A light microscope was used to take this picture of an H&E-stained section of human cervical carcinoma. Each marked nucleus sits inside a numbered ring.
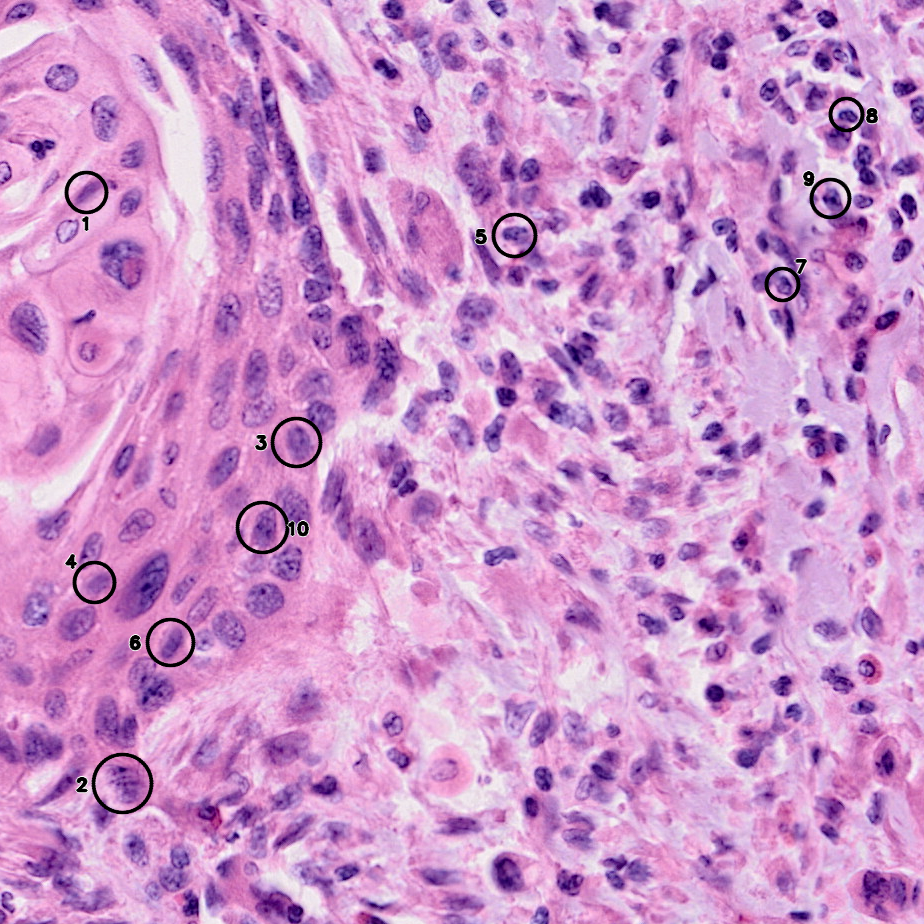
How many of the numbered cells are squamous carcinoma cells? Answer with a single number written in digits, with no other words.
6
